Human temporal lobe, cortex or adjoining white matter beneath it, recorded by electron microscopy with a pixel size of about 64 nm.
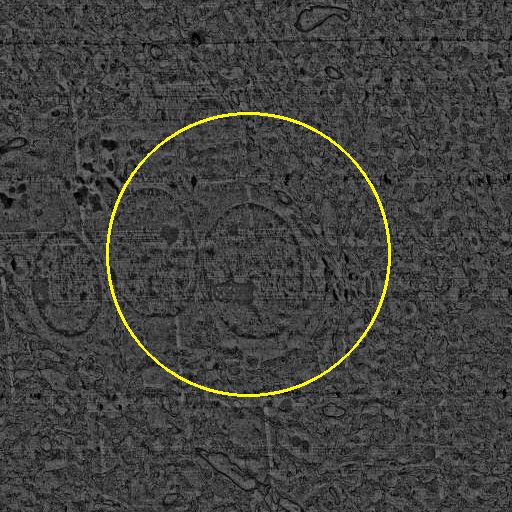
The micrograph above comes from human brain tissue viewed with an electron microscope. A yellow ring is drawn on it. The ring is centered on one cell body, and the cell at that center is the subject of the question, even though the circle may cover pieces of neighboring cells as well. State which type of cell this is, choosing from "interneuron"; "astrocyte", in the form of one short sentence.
The cell the ring is centered on is an astrocyte.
